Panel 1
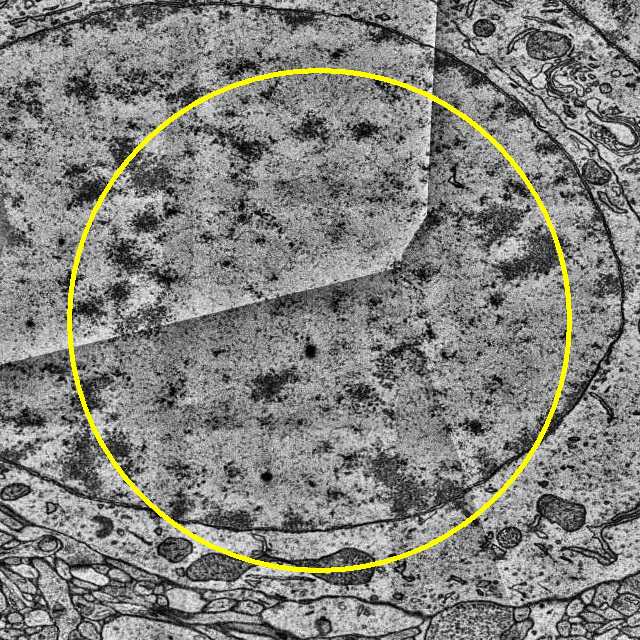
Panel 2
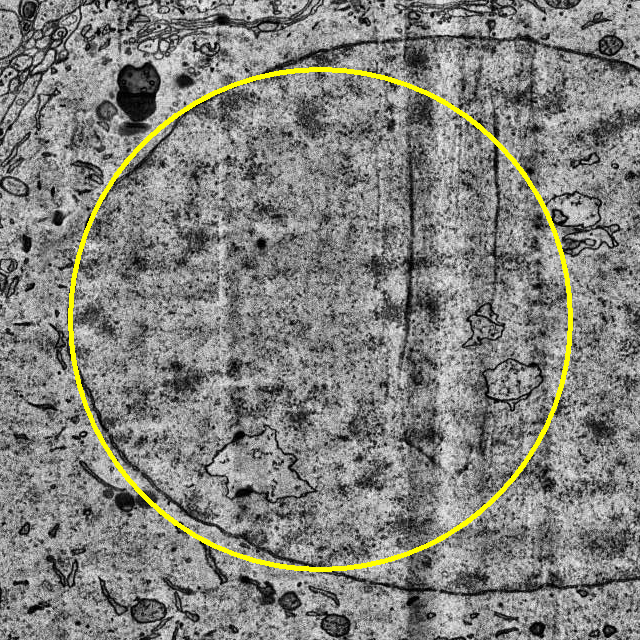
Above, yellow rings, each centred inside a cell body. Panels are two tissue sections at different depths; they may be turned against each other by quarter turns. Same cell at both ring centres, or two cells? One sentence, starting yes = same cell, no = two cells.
No, two different cells are marked by the two rings.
